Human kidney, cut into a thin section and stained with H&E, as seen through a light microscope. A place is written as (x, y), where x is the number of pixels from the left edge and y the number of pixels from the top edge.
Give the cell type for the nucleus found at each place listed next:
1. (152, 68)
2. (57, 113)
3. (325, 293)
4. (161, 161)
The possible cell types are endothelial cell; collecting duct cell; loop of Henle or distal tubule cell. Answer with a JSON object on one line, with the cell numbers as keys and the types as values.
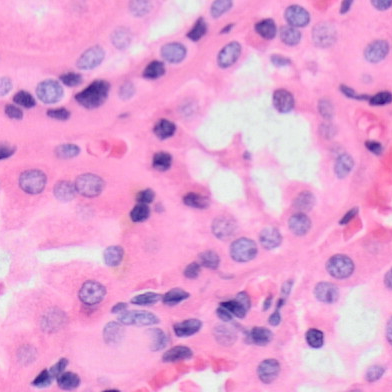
{"1": "collecting duct cell", "2": "collecting duct cell", "3": "loop of Henle or distal tubule cell", "4": "loop of Henle or distal tubule cell"}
